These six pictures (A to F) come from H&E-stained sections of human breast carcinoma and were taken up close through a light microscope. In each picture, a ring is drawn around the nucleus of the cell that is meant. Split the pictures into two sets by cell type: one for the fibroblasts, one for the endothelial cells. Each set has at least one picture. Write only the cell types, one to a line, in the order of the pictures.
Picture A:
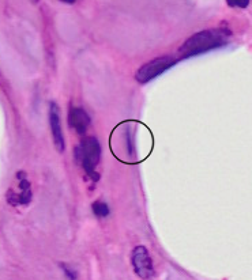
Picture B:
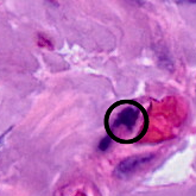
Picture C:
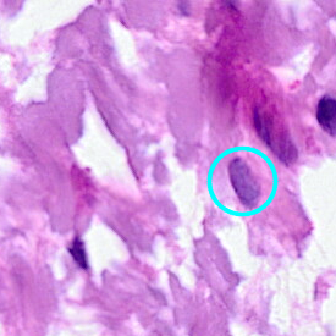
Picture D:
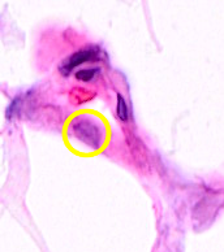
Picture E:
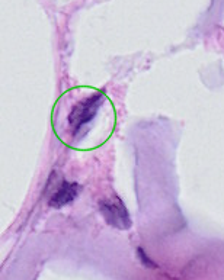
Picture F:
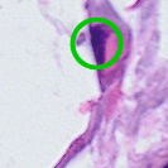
fibroblast
endothelial cell
fibroblast
endothelial cell
fibroblast
endothelial cell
